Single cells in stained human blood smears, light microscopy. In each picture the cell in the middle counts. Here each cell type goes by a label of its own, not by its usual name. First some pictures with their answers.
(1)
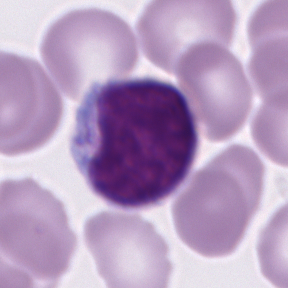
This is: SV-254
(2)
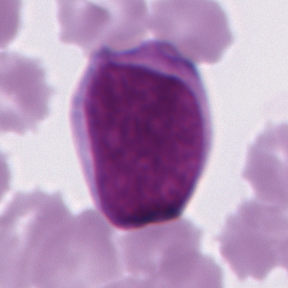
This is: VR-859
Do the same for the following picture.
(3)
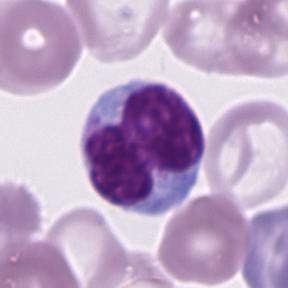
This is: SV-254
